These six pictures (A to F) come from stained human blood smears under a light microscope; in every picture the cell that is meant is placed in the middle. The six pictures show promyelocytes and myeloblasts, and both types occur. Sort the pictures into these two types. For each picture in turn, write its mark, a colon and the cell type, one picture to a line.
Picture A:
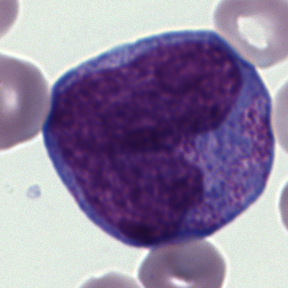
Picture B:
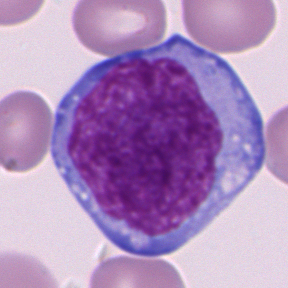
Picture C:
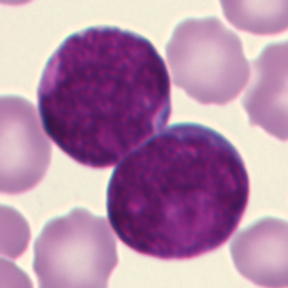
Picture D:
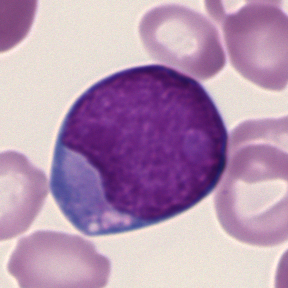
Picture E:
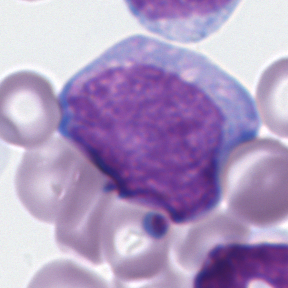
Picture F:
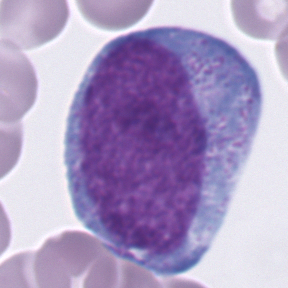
A: promyelocyte
B: myeloblast
C: myeloblast
D: myeloblast
E: promyelocyte
F: promyelocyte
